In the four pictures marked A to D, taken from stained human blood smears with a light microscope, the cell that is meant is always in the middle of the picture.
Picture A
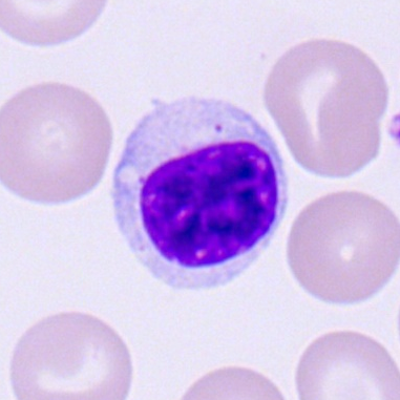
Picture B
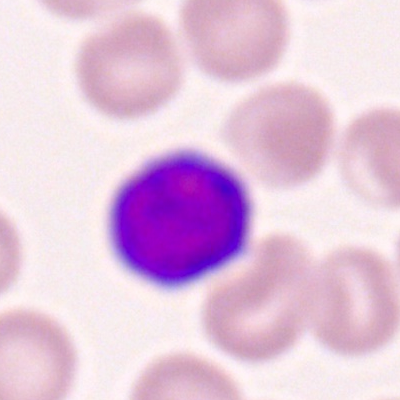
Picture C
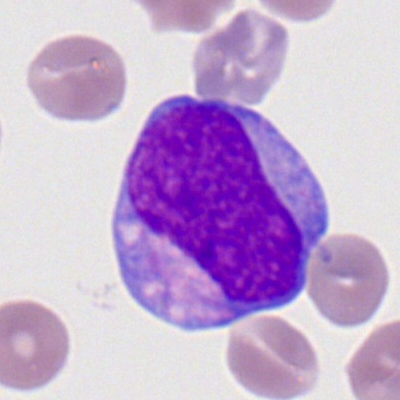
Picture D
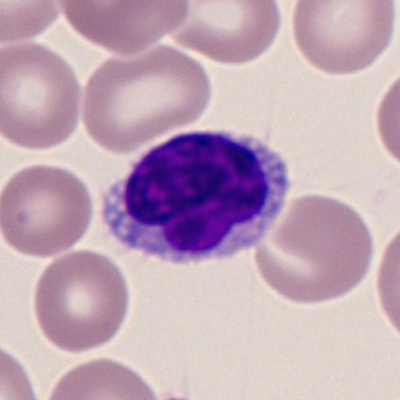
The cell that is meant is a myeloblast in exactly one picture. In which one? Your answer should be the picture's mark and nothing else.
C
